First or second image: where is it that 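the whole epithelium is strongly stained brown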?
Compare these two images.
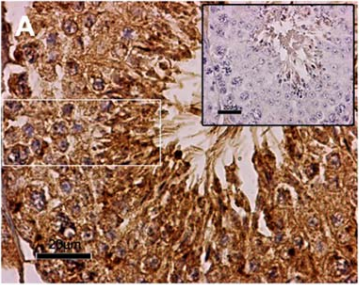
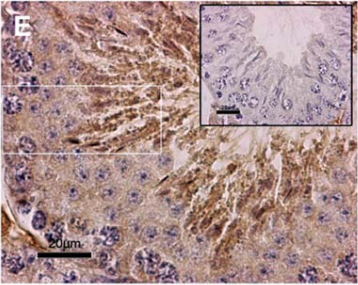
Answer: the first image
